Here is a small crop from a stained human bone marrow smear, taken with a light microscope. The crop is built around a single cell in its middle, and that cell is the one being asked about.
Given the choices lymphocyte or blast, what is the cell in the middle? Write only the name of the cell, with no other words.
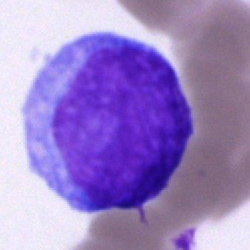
blast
